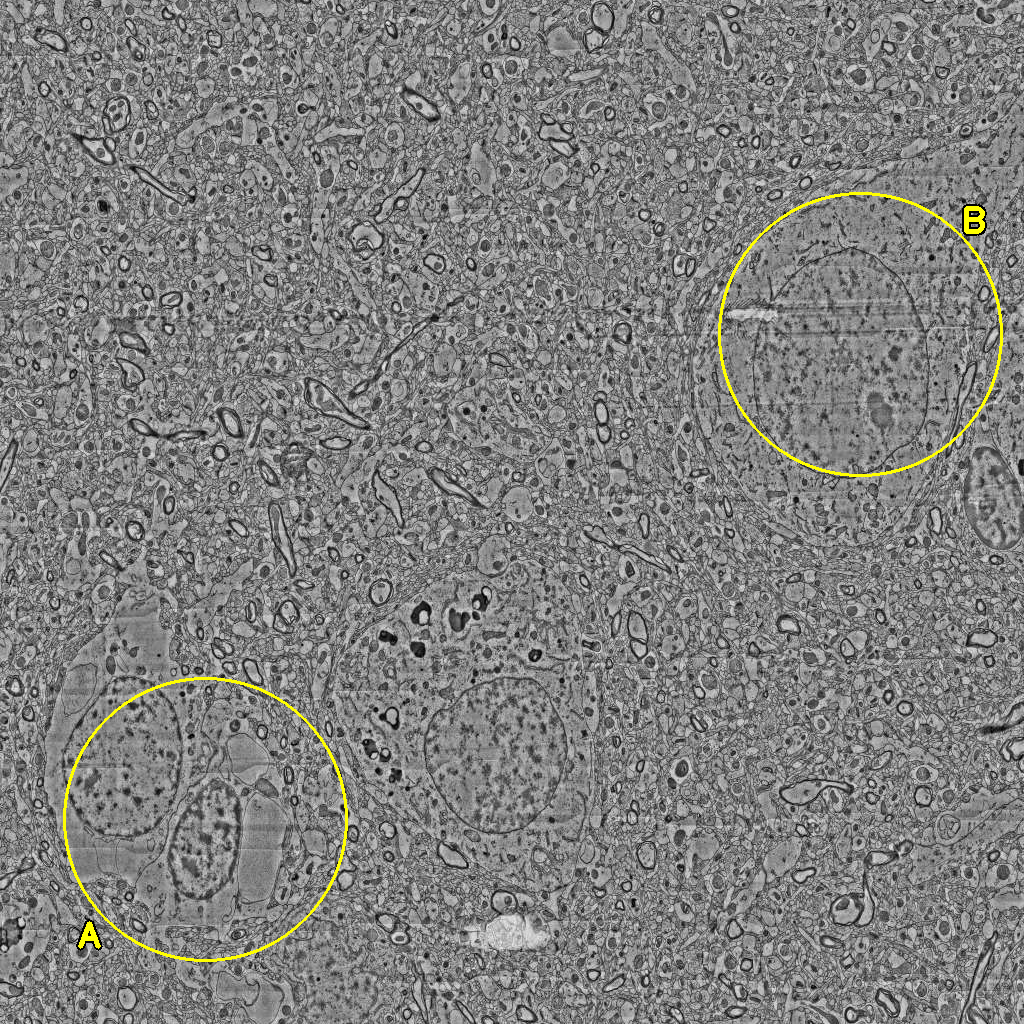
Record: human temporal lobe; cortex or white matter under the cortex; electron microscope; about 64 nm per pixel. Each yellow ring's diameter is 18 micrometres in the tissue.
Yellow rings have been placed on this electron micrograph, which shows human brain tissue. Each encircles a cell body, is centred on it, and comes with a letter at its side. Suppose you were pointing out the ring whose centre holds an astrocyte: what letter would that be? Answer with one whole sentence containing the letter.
The ring I would point to, centred on the cell in question, is A.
